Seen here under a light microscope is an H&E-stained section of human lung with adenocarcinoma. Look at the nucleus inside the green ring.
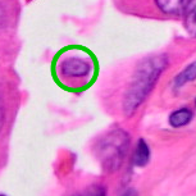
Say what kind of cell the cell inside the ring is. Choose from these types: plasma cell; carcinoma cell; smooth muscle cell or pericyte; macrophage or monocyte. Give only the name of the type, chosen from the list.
macrophage or monocyte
